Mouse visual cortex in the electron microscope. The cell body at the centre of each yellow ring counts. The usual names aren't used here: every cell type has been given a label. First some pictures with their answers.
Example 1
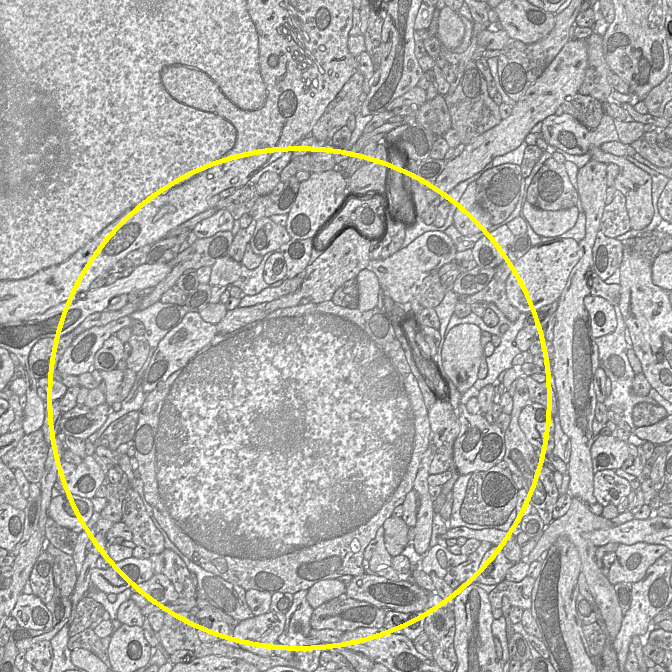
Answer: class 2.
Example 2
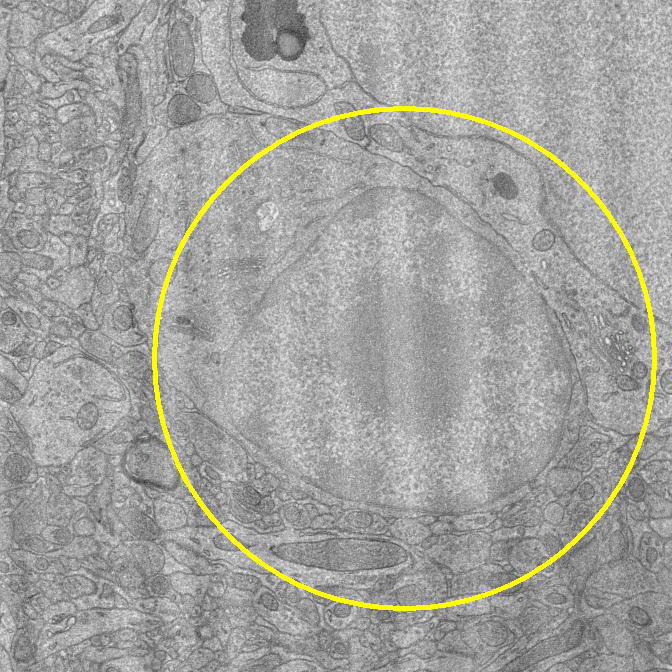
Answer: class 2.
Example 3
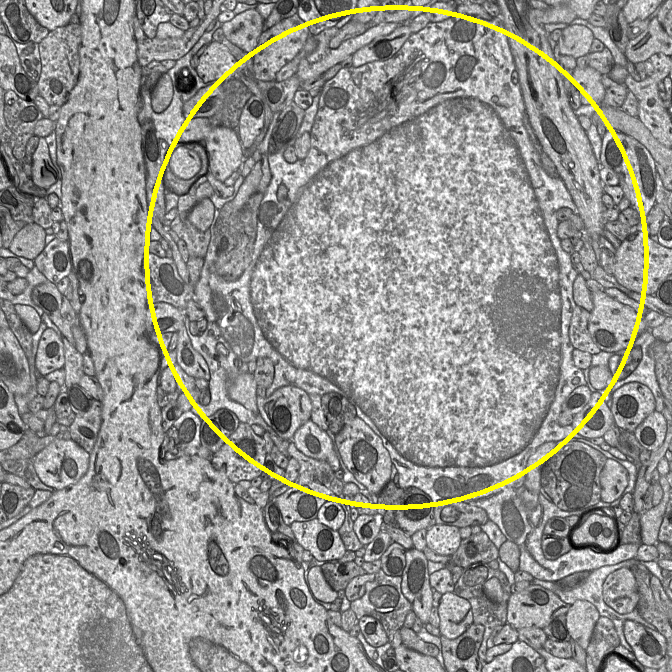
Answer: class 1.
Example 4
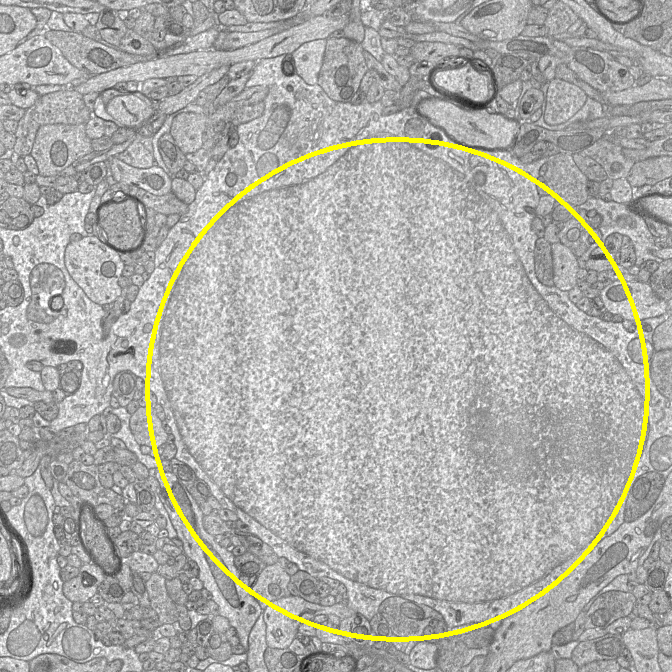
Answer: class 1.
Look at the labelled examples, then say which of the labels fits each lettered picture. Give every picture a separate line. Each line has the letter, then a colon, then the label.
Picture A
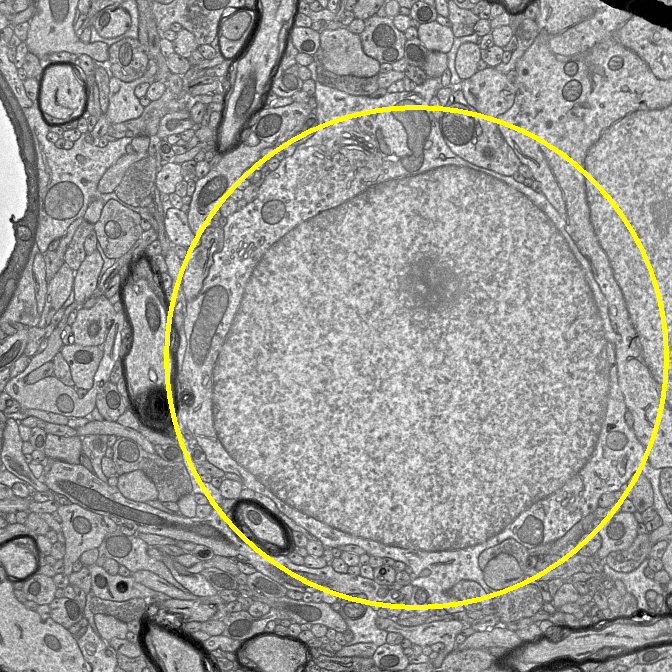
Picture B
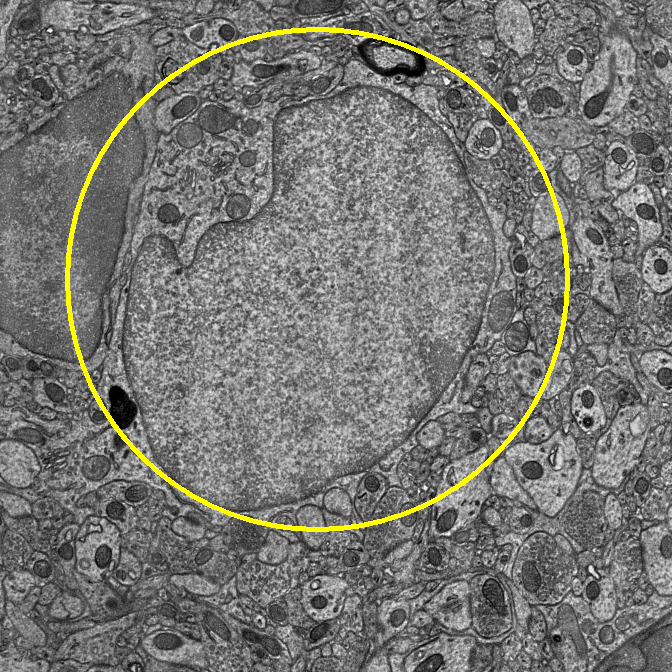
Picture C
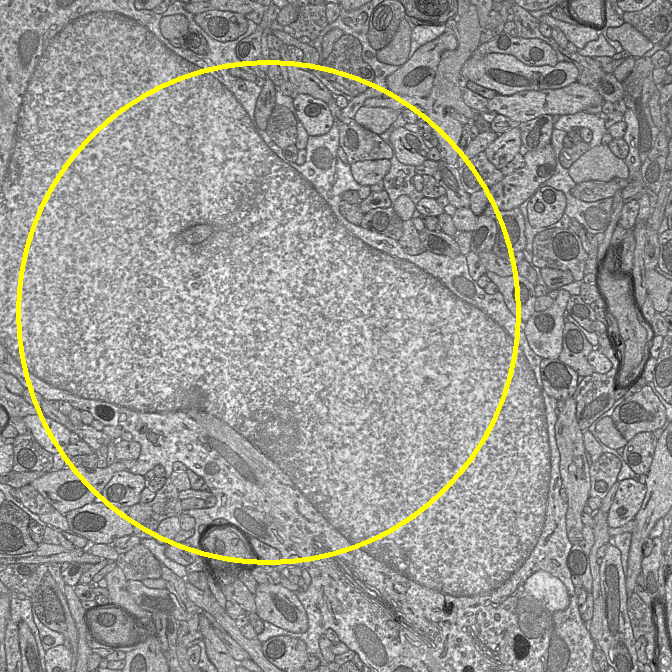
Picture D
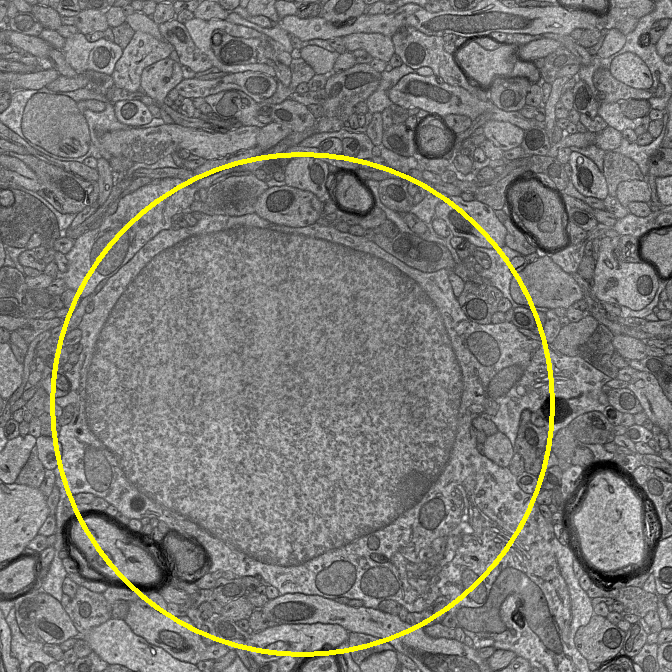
A: class 1.
B: class 1.
C: class 1.
D: class 1.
